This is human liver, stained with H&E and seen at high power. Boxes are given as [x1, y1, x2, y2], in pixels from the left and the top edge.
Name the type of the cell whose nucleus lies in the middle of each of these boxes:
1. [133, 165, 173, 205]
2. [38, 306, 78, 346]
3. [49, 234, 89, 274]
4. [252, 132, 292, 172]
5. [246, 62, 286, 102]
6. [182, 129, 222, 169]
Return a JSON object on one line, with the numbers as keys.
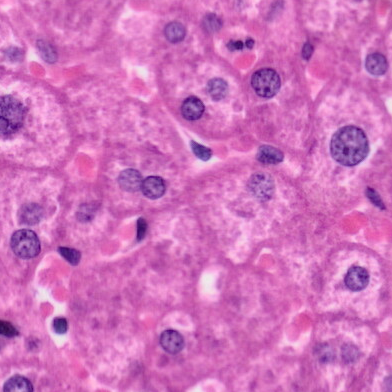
{"1": "hepatocyte", "2": "lymphocyte", "3": "fibroblast or stellate cell", "4": "endothelial cell", "5": "hepatocyte", "6": "lymphocyte"}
